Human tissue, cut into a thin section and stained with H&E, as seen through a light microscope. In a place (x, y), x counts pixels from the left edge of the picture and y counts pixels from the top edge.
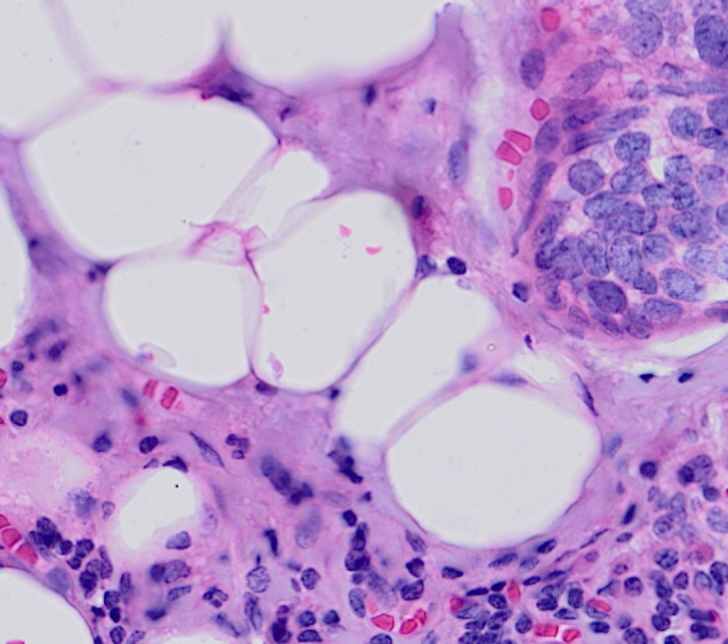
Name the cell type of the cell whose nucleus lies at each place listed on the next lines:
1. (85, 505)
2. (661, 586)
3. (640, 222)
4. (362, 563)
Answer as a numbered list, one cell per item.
1. fibroblast
2. lymphocyte
3. carcinoma cell
4. lymphocyte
